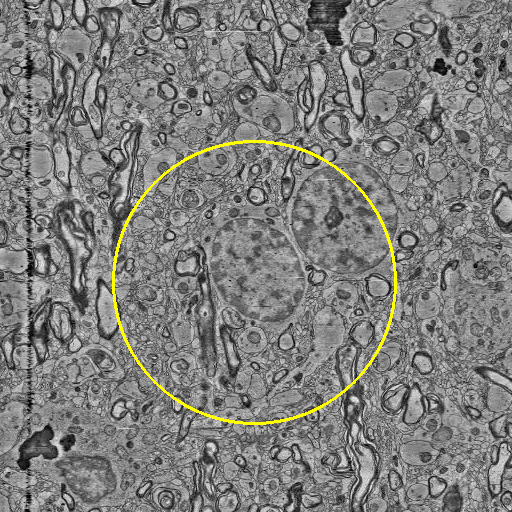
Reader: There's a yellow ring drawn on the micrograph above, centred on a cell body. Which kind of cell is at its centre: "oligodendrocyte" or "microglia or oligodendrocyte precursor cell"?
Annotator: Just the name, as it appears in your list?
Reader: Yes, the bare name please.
oligodendrocyte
